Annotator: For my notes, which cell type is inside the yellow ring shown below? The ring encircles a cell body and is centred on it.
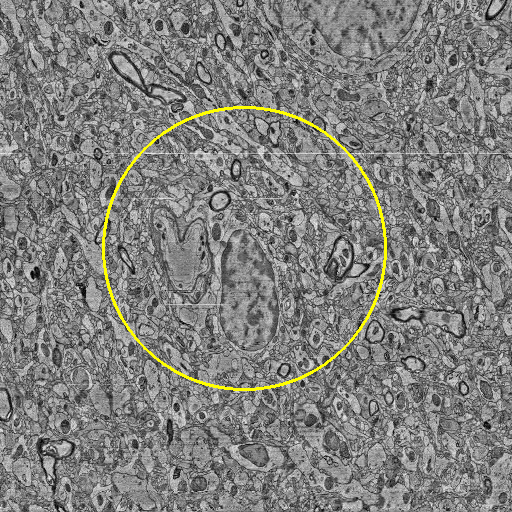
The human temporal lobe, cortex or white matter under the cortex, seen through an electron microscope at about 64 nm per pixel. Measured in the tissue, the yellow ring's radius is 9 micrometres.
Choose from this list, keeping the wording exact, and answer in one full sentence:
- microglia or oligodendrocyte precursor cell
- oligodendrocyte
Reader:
At the centre of the yellow ring there is a microglial cell or oligodendrocyte precursor cell, as shown in the picture.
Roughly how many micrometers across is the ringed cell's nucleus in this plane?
The nucleus comes to approximately 7 by 4 micrometres and is clearly longer than it is wide in this plane.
